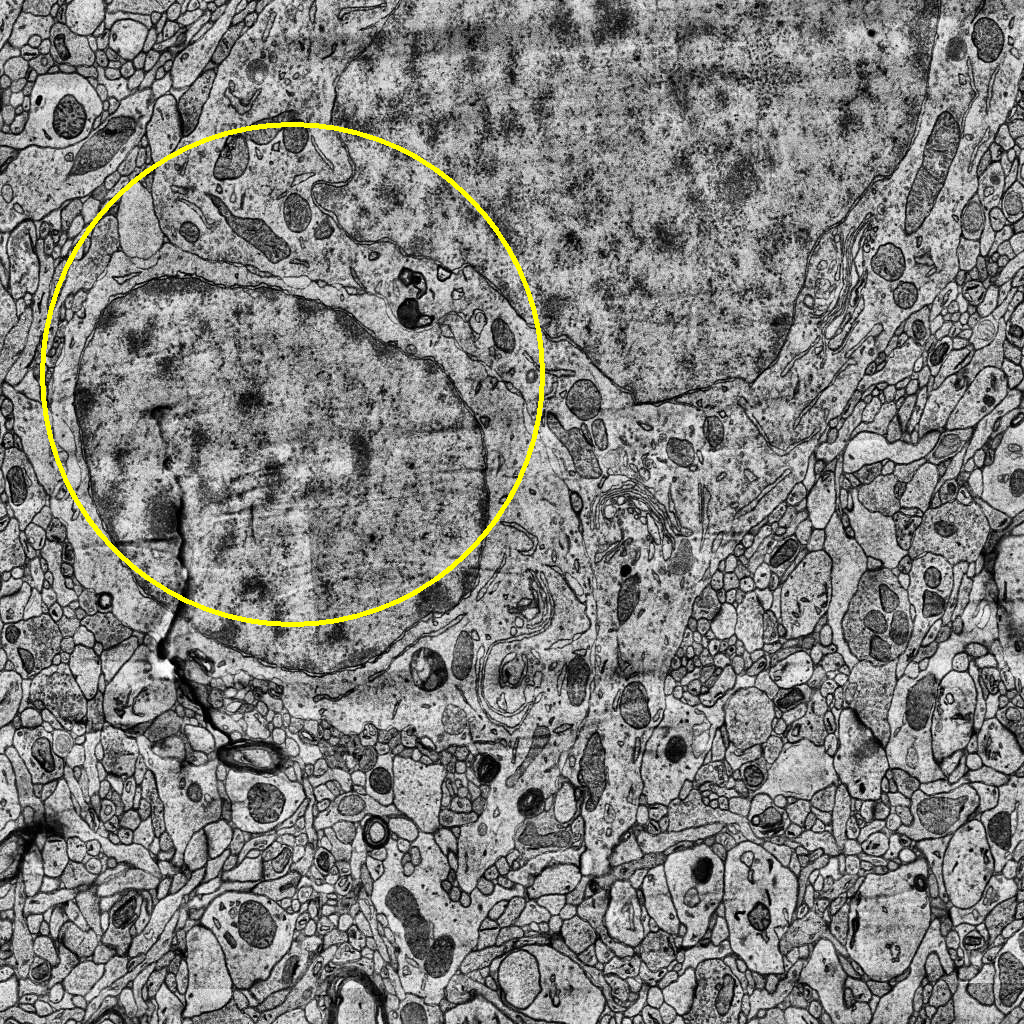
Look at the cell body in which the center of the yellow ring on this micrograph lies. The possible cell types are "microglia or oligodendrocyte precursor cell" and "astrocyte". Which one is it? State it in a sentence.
The cell at the middle of the ring is a microglial cell or oligodendrocyte precursor cell.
